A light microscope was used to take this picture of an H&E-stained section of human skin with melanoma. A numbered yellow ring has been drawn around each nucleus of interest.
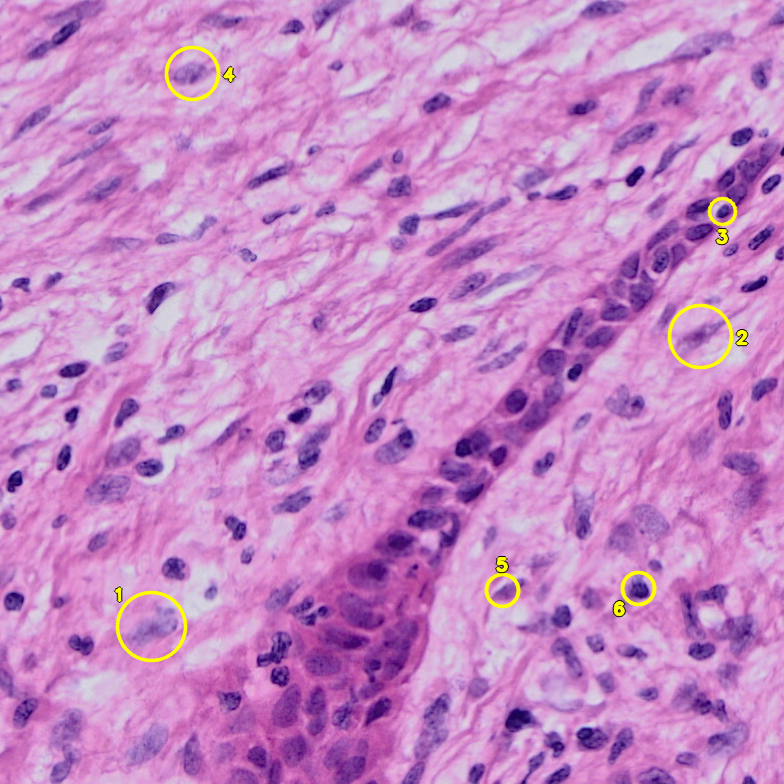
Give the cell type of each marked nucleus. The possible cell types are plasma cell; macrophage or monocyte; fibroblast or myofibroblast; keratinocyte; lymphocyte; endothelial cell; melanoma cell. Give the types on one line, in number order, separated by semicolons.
fibroblast or myofibroblast; fibroblast or myofibroblast; lymphocyte; fibroblast or myofibroblast; fibroblast or myofibroblast; lymphocyte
